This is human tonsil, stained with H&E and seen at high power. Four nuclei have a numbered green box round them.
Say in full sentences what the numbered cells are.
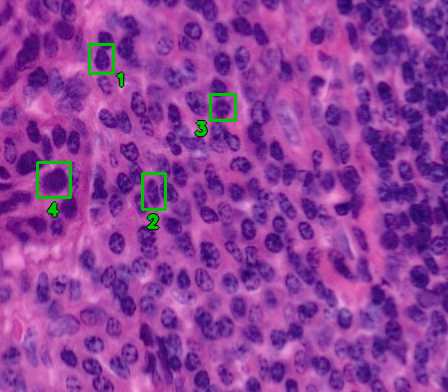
Cell 1 is a plasma cell, cell 2 is a plasma cell, cell 3 is a plasma cell and cell 4 is a squamous epithelial cell.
